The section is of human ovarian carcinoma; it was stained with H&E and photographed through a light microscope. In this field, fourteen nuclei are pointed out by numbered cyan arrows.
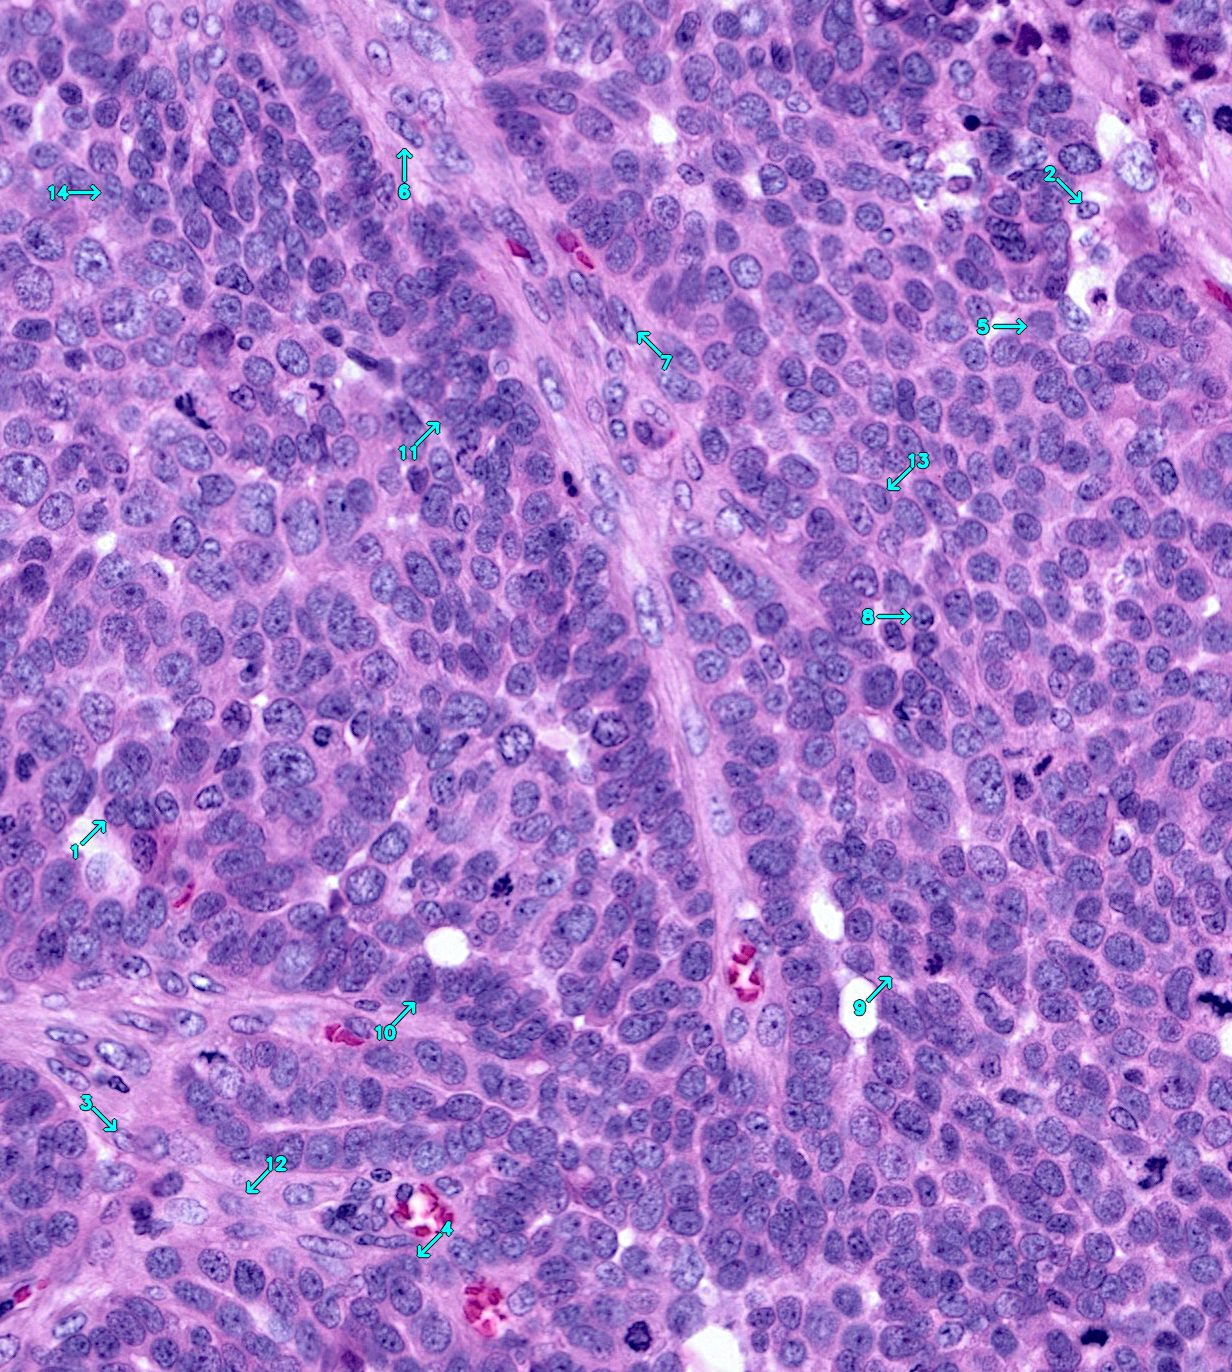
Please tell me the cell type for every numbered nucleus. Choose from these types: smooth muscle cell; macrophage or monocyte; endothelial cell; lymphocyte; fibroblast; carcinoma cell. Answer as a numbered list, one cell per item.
1. carcinoma cell
2. macrophage or monocyte
3. fibroblast
4. carcinoma cell
5. carcinoma cell
6. fibroblast
7. fibroblast
8. macrophage or monocyte
9. carcinoma cell
10. carcinoma cell
11. carcinoma cell
12. fibroblast
13. carcinoma cell
14. carcinoma cell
